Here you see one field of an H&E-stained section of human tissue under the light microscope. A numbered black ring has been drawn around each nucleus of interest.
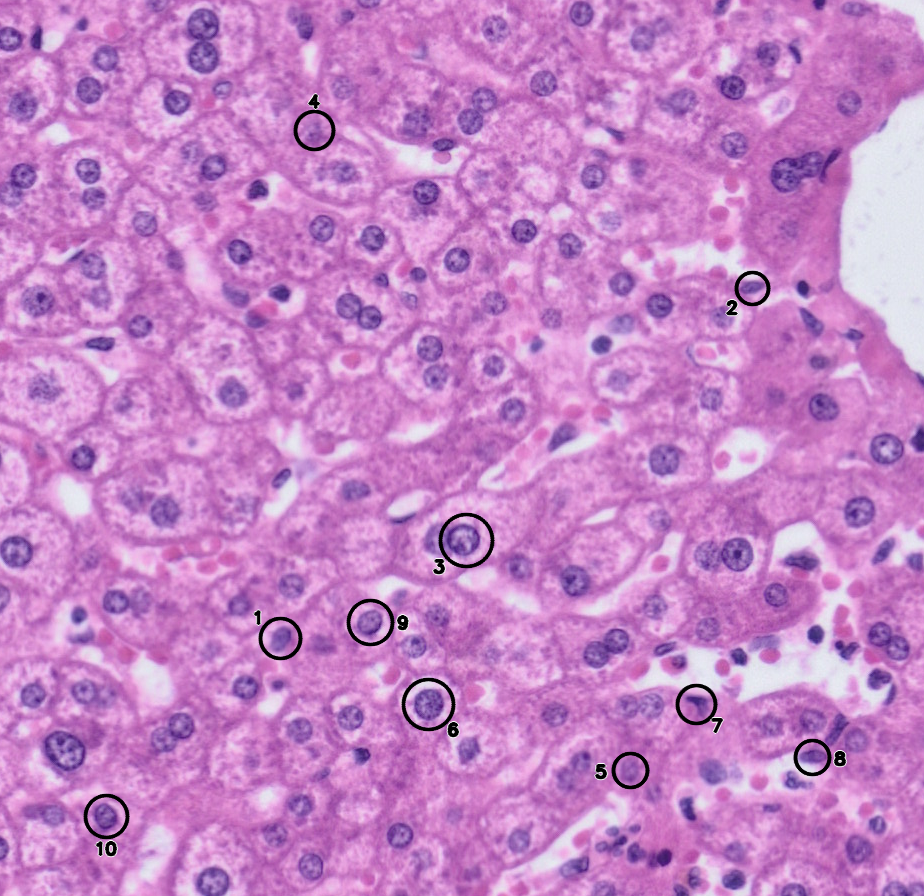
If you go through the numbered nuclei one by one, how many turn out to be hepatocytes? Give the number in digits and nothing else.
6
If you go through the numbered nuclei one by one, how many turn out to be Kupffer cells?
3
